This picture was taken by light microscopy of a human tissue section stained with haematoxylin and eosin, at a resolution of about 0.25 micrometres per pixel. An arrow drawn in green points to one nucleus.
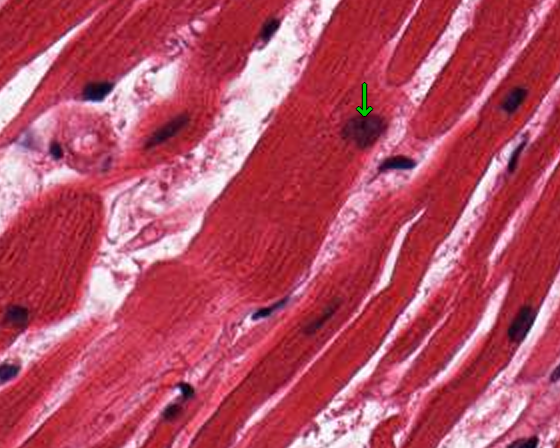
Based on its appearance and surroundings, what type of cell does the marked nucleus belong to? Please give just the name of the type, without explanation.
cardiomyocyte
